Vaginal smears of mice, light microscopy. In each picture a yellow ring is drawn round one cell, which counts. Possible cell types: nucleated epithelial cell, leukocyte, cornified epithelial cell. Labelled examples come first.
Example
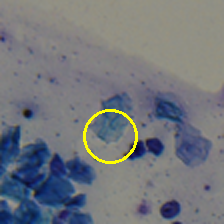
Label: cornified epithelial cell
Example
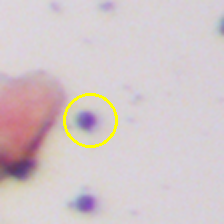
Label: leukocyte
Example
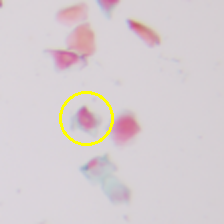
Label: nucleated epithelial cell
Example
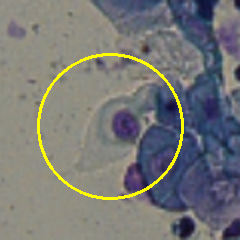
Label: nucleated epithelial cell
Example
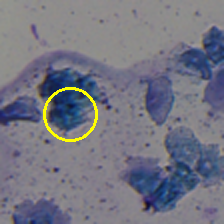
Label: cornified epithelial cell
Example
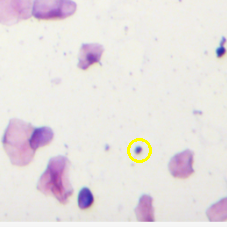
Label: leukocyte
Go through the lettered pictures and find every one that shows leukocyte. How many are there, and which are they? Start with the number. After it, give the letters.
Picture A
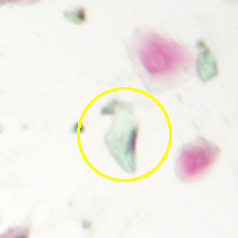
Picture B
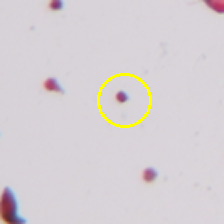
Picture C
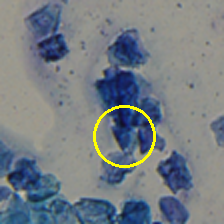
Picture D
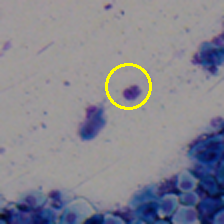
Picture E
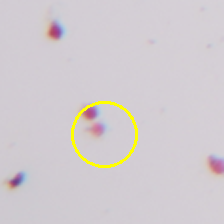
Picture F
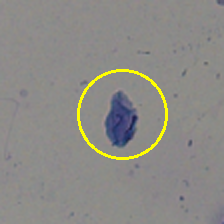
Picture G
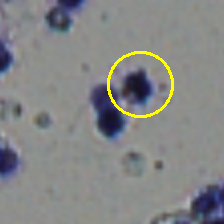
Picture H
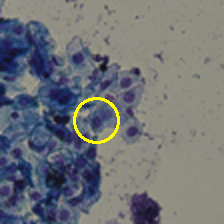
4, namely B, D, E, G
